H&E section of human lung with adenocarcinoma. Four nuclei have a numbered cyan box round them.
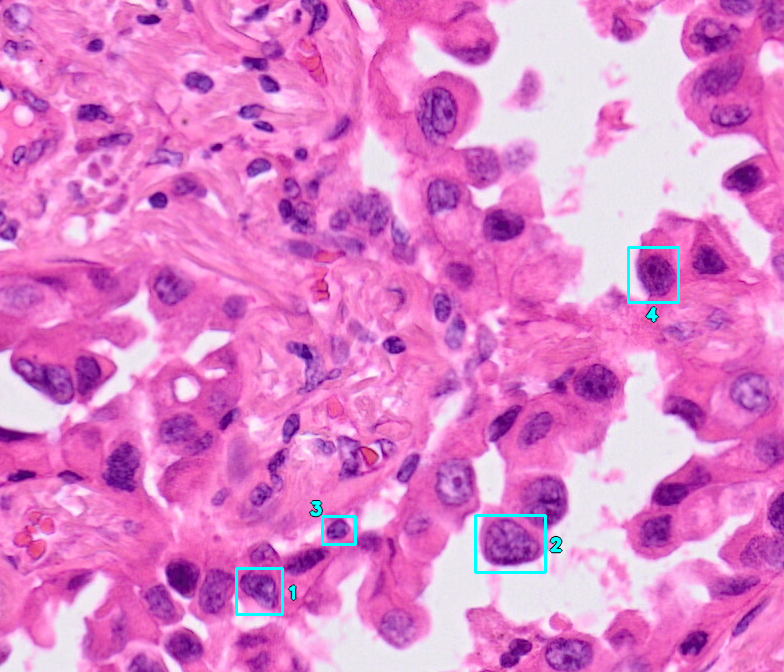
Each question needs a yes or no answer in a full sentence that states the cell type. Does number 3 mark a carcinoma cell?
No, cell 3 is not a carcinoma cell. It is a lymphocyte.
